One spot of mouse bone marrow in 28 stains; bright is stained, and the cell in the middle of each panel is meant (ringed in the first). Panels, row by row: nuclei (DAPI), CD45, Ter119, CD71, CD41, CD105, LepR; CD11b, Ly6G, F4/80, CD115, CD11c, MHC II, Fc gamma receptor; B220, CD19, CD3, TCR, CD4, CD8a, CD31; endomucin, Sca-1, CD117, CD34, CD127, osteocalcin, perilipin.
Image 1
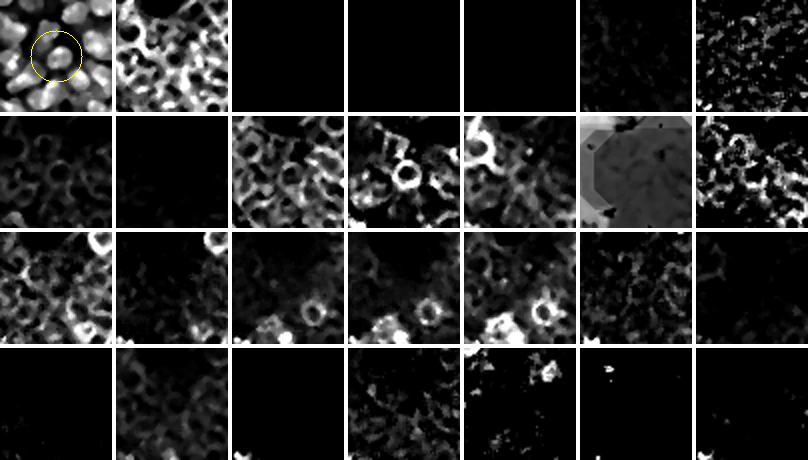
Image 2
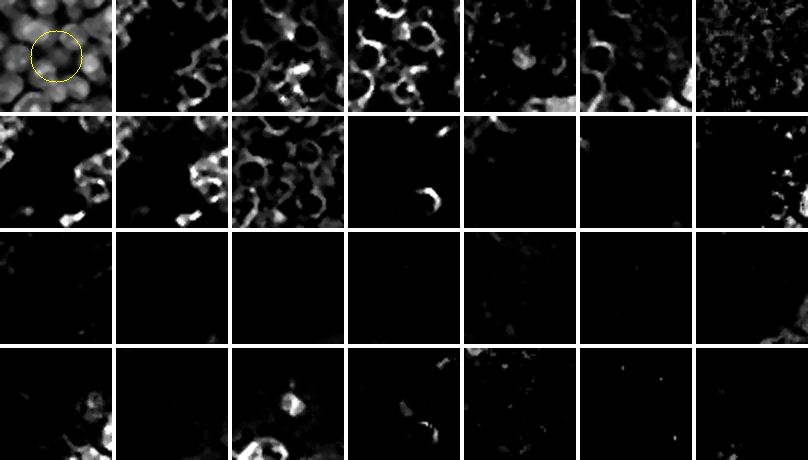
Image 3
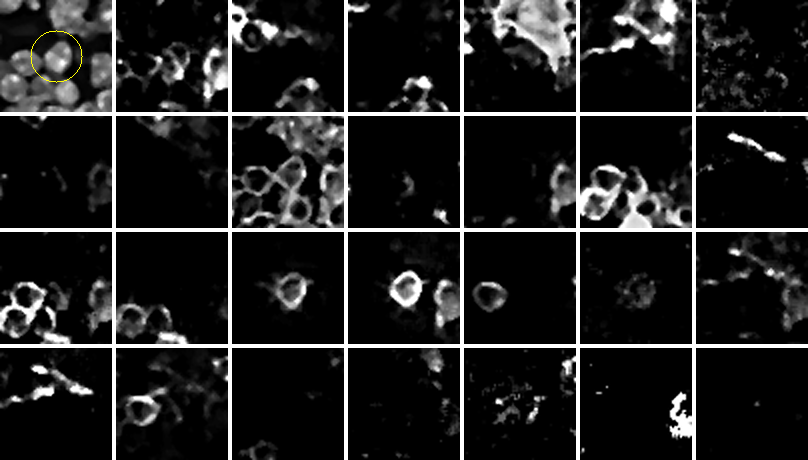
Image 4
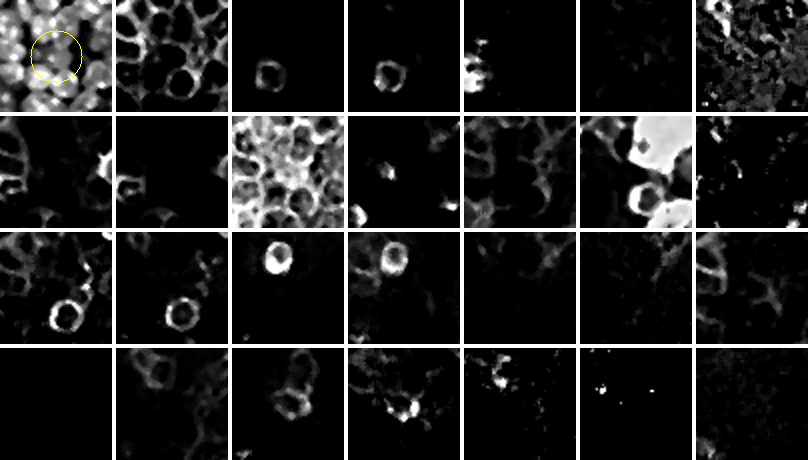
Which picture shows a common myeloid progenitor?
Picture 4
